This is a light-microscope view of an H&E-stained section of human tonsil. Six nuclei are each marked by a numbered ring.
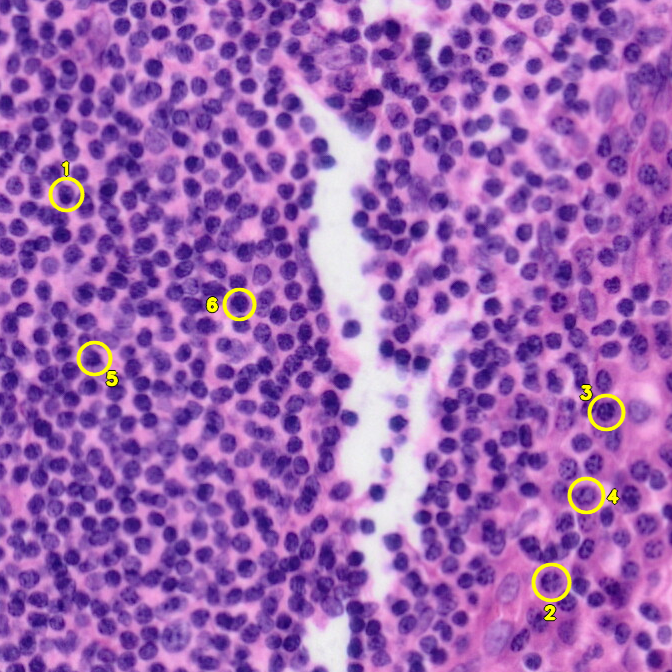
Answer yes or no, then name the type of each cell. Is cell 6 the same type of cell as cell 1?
Yes, small lymphocytes are what cells 6 and 1 both are.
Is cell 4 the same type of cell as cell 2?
Yes, the cells bearing numbers 4 and 2 are both plasma cells.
